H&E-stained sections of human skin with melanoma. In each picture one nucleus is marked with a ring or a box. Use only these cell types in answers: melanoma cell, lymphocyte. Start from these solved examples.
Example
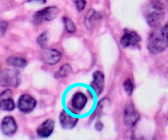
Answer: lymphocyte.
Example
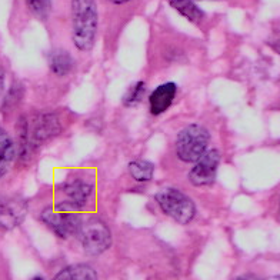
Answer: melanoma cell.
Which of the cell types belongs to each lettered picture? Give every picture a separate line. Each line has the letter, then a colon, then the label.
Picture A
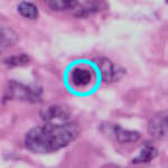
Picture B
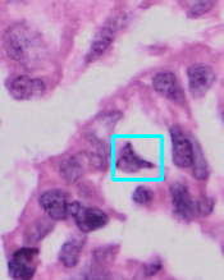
A: lymphocyte.
B: melanoma cell.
